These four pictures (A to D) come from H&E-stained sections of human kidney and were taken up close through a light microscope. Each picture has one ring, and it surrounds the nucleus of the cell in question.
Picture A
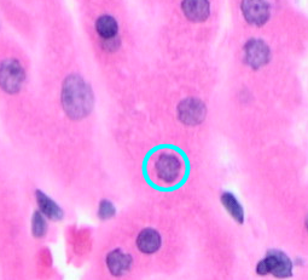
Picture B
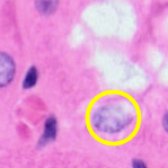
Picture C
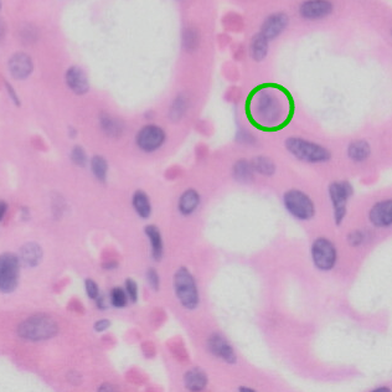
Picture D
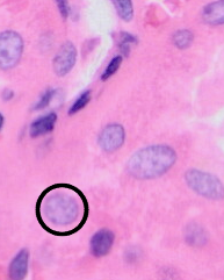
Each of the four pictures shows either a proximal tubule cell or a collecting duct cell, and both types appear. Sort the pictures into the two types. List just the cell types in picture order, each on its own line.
proximal tubule cell
proximal tubule cell
collecting duct cell
proximal tubule cell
